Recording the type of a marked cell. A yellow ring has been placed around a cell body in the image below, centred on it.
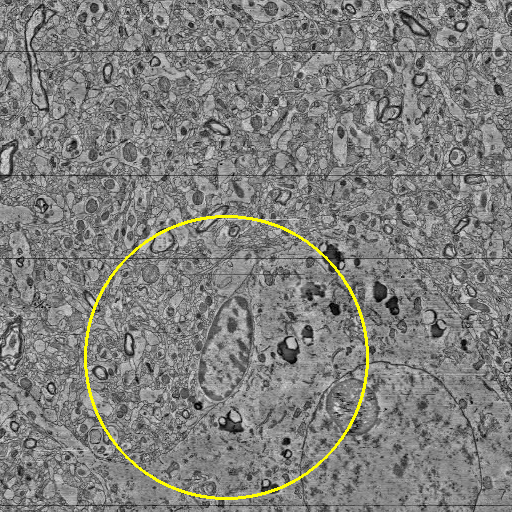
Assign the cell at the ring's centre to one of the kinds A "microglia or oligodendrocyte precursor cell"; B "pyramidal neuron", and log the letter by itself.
A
